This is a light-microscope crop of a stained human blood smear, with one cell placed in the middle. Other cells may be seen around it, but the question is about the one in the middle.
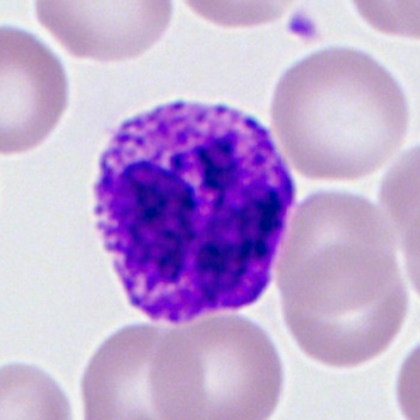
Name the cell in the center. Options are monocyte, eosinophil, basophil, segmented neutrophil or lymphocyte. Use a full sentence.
The cell featured at the centre of this crop is a basophil.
